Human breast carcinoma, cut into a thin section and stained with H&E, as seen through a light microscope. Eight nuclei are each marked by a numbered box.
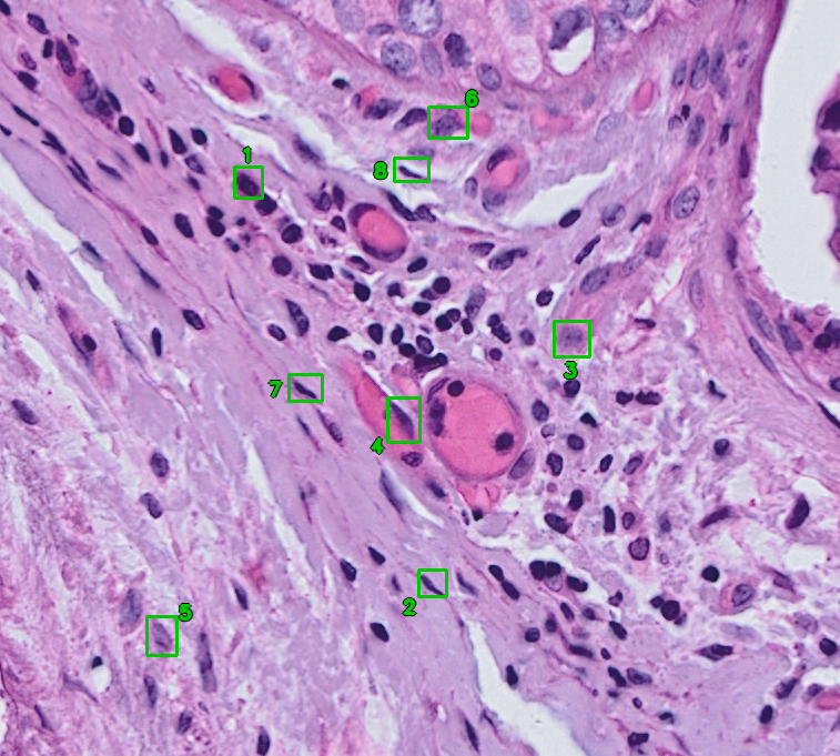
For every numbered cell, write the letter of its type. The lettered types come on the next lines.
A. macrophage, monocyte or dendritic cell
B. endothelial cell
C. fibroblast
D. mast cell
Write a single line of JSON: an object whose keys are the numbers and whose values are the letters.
{"1": "D", "2": "C", "3": "B", "4": "B", "5": "A", "6": "B", "7": "C", "8": "C"}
